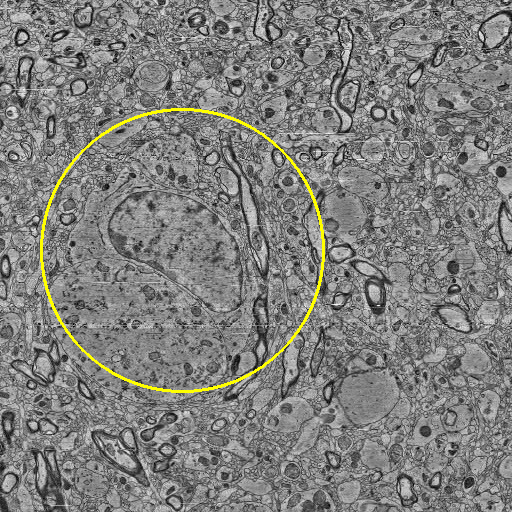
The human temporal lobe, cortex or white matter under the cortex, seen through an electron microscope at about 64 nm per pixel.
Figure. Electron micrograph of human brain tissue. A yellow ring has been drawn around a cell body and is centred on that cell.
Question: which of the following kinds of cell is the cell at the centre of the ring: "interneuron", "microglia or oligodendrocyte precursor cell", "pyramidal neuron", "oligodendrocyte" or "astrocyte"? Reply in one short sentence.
The cell at the centre of the ring is a microglial cell or oligodendrocyte precursor cell.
